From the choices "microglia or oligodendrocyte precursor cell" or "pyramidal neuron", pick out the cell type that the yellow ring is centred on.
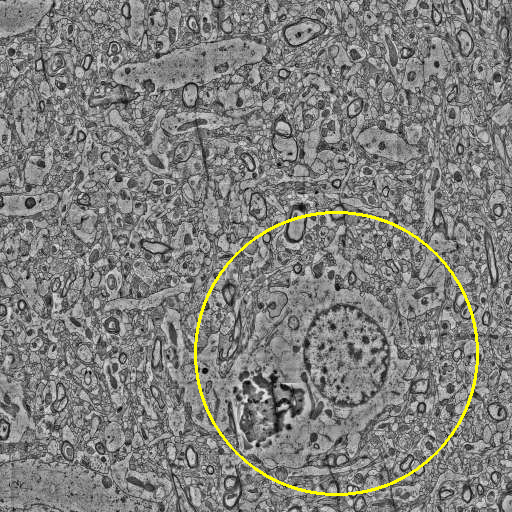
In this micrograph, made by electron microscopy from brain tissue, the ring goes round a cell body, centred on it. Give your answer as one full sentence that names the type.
The yellow ring is centred on a microglial cell or oligodendrocyte precursor cell, whose cell body it encircles in the picture.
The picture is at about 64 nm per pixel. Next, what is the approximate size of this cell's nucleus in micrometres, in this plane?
About 7 micrometres by about 6 micrometres in this plane.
